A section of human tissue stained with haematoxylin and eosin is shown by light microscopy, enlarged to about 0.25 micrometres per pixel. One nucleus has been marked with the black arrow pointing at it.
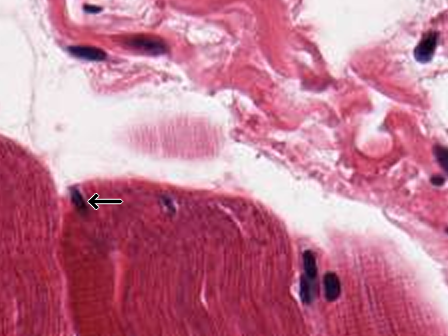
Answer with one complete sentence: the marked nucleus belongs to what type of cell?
The marked nucleus is housed in a skeletal muscle fibre.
